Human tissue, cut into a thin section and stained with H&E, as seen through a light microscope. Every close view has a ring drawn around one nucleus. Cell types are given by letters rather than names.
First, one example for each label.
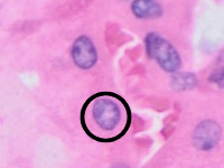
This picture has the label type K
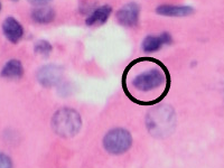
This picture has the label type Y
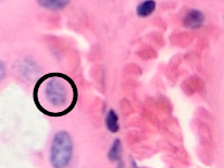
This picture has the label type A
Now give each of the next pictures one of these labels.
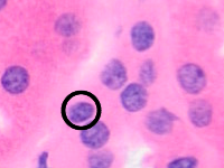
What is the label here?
type A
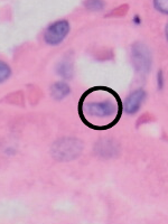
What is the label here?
type A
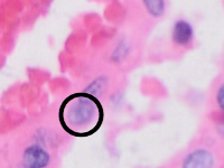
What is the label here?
type A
